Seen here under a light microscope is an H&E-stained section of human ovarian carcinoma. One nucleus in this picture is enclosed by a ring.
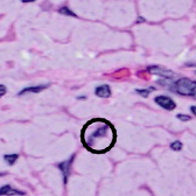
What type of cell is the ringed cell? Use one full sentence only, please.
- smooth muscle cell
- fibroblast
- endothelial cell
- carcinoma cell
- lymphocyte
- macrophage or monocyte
In the stained section, the ringed cell is a fibroblast.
